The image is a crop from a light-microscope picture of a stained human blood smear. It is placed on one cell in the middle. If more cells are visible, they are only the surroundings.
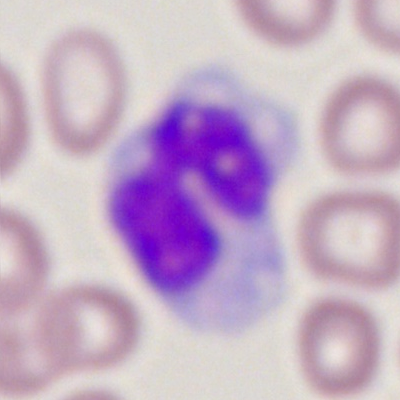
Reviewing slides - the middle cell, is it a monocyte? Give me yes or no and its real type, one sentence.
Yes, the cell positioned at the centre of the crop is a monocyte.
